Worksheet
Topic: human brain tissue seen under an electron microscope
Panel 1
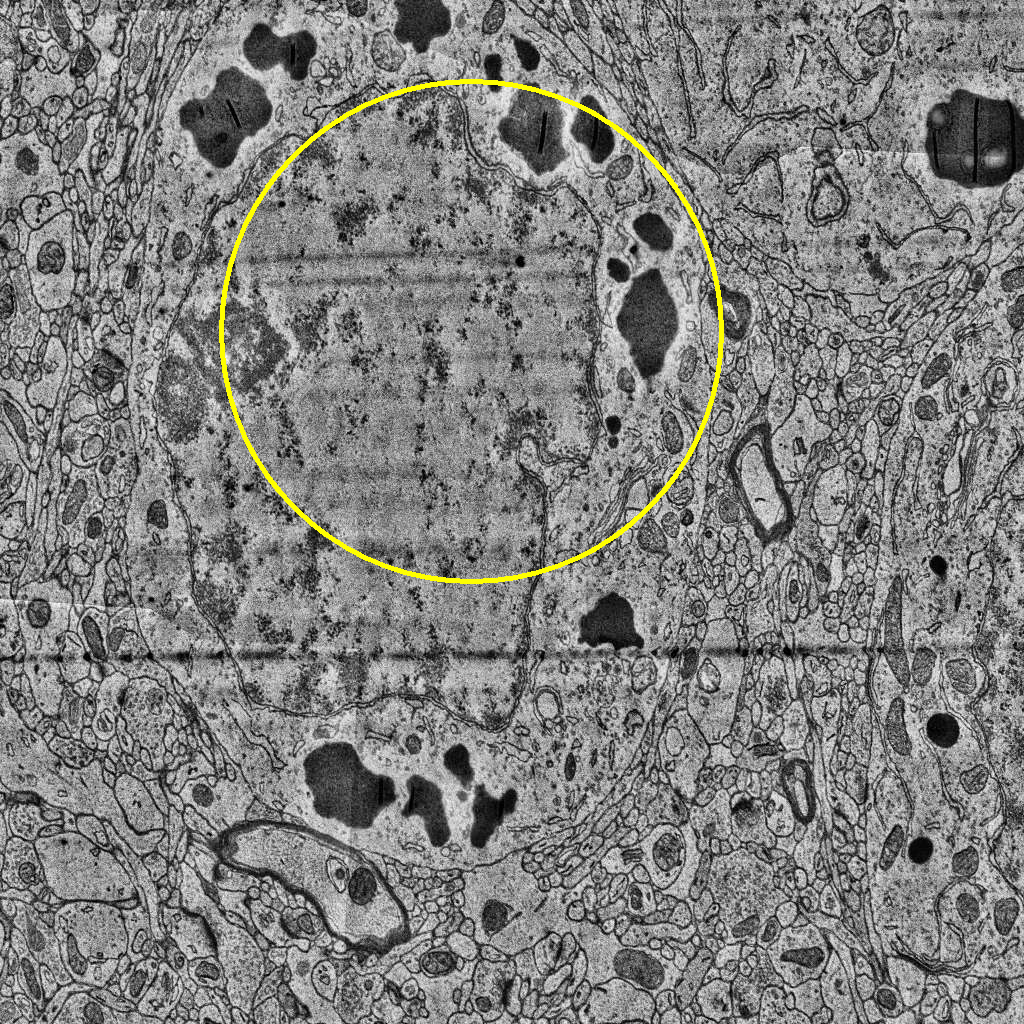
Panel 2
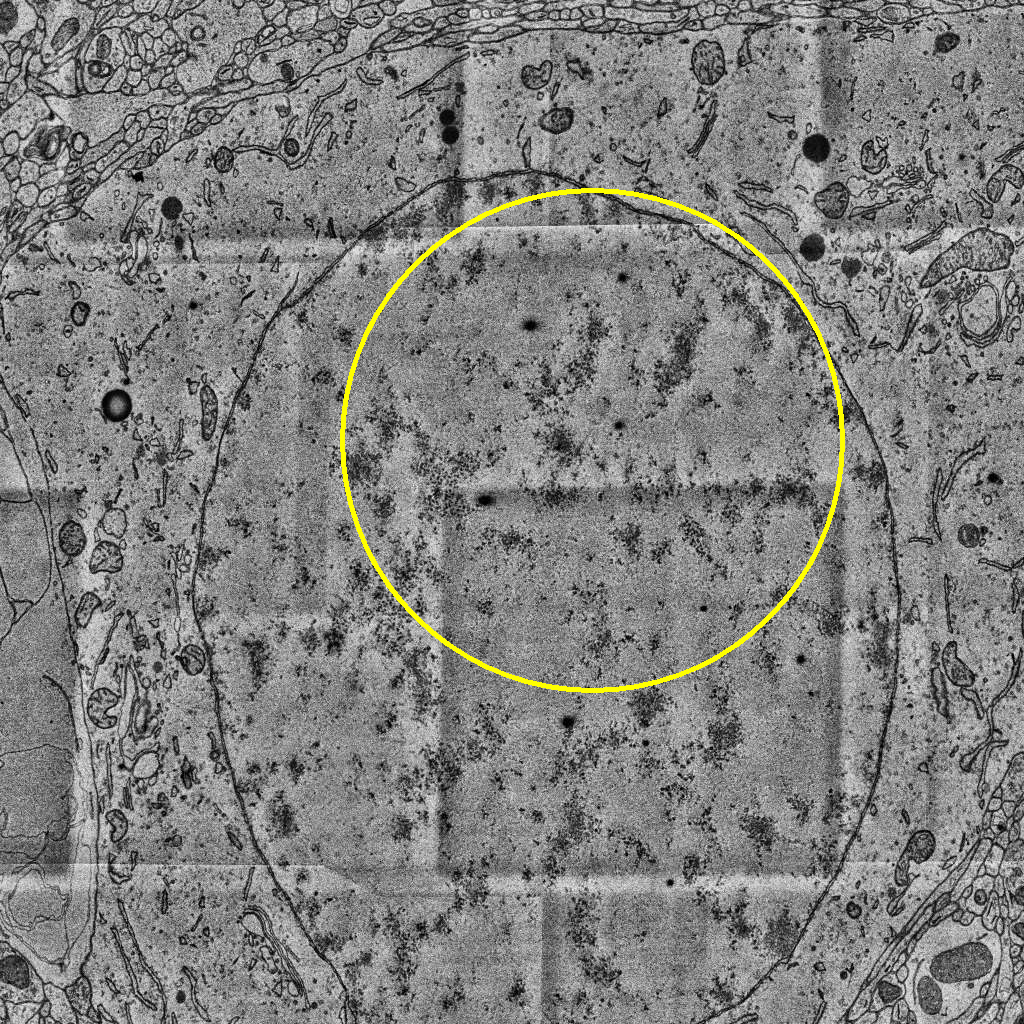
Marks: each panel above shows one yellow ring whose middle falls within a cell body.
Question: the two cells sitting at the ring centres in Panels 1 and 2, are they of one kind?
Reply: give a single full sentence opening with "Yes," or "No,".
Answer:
No, the two cells at the ring centres in Panel 1 and Panel 2 are of two kinds.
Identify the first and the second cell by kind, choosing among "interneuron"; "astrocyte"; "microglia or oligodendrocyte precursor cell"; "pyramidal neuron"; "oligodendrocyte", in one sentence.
In the first picture it is an interneuron; in the second it is a pyramidal neuron.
